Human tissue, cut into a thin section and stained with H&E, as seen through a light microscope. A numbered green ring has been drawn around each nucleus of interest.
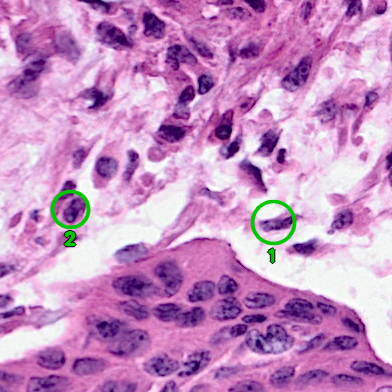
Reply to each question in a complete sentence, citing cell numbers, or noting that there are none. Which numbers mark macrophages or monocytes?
Just one numbered cell is a macrophage or monocyte, and that cell is number 2.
